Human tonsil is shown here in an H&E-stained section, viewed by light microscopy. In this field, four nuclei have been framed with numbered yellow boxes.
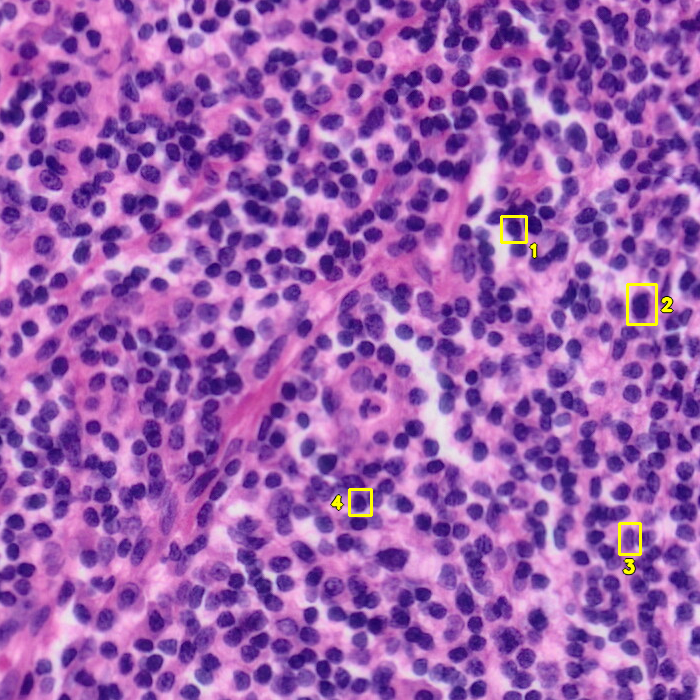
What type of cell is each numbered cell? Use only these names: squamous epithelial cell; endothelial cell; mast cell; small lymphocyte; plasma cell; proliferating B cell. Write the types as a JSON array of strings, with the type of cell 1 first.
["small lymphocyte", "proliferating B cell", "small lymphocyte", "small lymphocyte"]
